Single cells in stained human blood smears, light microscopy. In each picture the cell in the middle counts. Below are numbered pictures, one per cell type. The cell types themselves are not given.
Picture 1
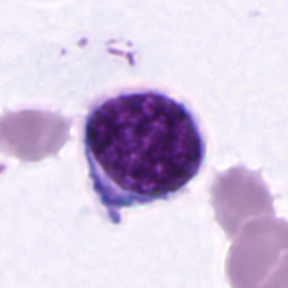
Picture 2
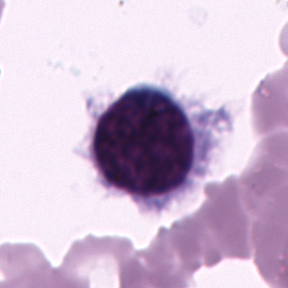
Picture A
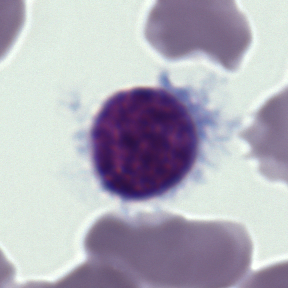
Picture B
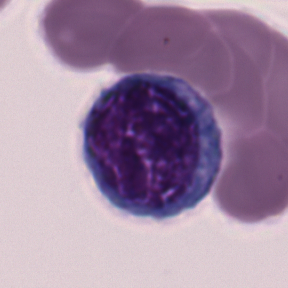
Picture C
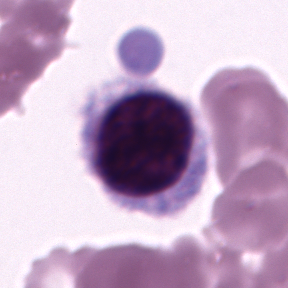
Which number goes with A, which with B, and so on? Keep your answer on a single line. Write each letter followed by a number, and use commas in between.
A 2, B 1, C 2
